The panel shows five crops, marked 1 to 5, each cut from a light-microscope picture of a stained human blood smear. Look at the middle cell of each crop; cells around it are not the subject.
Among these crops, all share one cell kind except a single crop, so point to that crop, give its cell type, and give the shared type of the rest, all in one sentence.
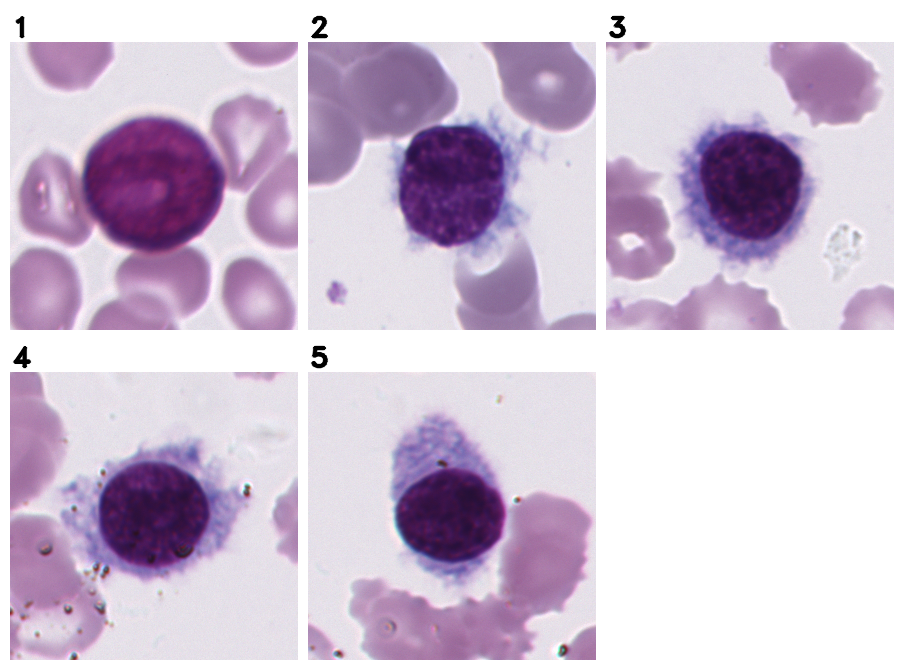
Crop 1 presents a myeloblast, while hairy cells are presented by all other crops.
